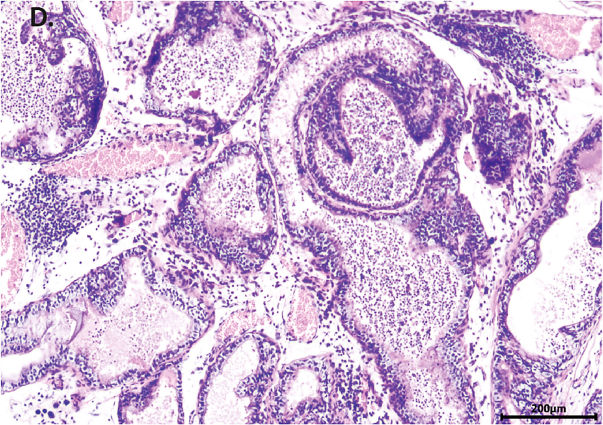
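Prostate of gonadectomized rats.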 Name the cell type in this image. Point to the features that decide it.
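Gland lumina are filled with many small, loosely packed round cells. Dense aggregates of small dark nuclei lie in the tissue between the glands. The answer: inflammatory cells.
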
